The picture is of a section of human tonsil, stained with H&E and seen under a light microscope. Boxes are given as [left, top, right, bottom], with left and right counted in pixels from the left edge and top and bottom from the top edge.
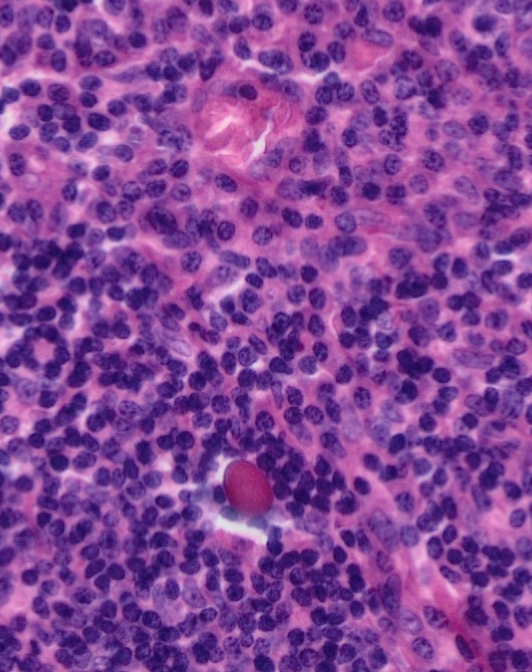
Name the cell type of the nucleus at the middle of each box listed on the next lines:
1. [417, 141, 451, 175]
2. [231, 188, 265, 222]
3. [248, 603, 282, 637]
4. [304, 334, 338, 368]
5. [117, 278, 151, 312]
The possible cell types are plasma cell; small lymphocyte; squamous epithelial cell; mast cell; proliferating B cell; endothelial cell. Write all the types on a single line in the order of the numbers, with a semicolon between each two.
plasma cell; plasma cell; small lymphocyte; plasma cell; small lymphocyte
